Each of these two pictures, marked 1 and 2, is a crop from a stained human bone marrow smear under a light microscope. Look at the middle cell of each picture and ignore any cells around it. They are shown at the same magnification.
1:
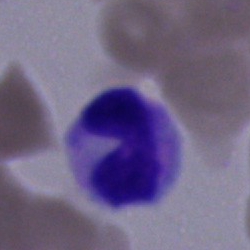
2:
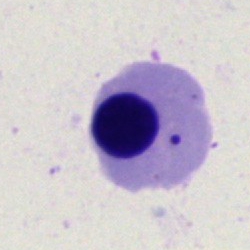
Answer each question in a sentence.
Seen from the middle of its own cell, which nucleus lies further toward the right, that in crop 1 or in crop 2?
It is the nucleus in crop 1 that lies further toward the right of its cell.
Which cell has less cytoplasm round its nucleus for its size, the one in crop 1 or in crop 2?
It is the cell in crop 1 that is filled more by its nucleus.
